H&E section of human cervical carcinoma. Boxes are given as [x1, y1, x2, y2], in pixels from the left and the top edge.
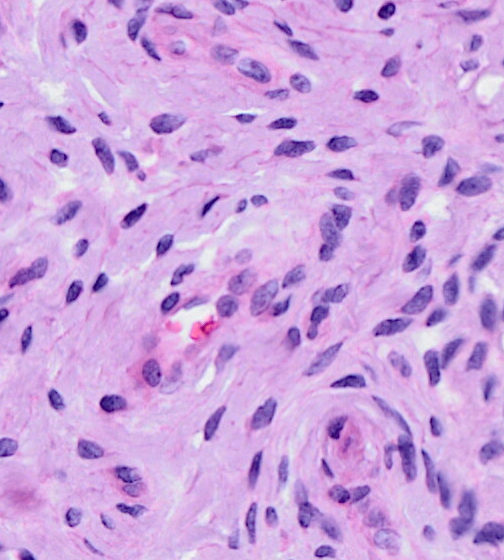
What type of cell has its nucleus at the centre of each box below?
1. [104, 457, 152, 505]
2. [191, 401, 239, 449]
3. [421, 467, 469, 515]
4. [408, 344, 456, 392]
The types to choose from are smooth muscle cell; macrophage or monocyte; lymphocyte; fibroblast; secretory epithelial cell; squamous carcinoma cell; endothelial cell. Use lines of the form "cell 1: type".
cell 1: endothelial cell
cell 2: fibroblast
cell 3: fibroblast
cell 4: fibroblast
